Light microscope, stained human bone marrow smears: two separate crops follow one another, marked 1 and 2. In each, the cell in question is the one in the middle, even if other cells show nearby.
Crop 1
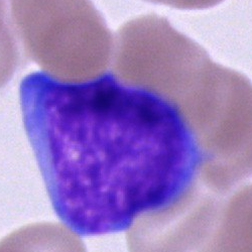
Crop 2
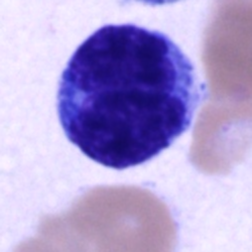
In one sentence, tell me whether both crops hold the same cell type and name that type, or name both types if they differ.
Yes, blasts are what the two crops show.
